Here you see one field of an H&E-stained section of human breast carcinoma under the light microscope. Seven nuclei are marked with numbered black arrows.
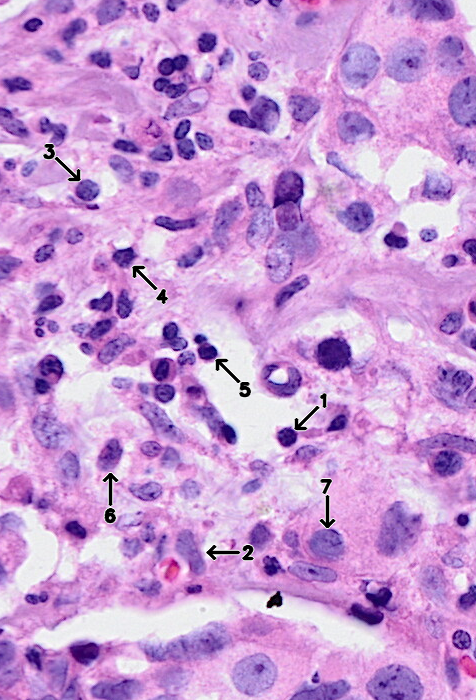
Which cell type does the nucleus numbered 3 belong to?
lymphocyte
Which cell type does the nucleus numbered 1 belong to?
lymphocyte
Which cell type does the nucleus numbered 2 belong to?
endothelial cell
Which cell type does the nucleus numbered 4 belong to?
lymphocyte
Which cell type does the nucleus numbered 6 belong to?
macrophage, monocyte or dendritic cell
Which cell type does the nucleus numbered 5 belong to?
lymphocyte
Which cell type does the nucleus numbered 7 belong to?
carcinoma cell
